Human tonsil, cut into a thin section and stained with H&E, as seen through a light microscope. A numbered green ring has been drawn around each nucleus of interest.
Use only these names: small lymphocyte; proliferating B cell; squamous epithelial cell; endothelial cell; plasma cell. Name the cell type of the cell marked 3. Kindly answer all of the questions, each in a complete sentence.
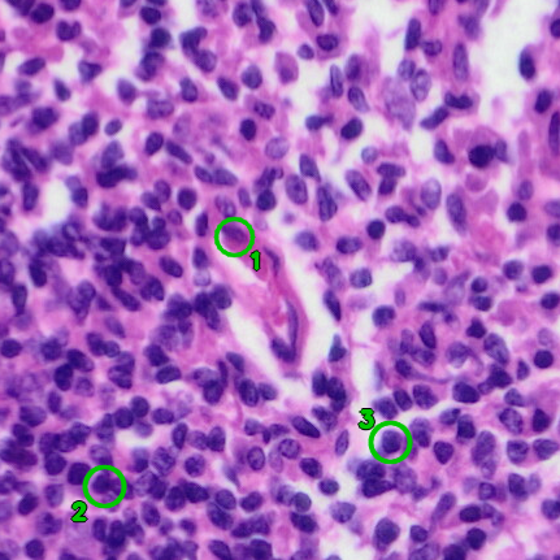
That cell with number 3 is a small lymphocyte.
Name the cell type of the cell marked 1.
Numbered cell 1 is an endothelial cell in this tissue section.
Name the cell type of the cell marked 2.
The cell indicated by marker 2 is a small lymphocyte in this section.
